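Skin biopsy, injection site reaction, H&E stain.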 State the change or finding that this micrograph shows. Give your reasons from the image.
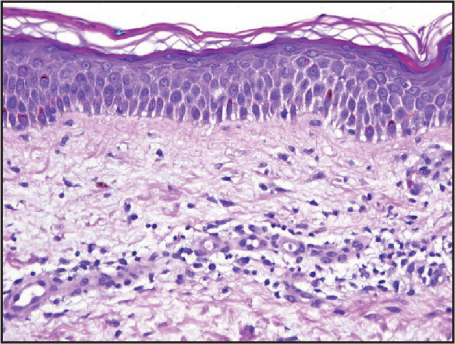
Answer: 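The clusters lie around small vessel lumina in the superficial dermis. So: superficial perivascular inflammation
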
